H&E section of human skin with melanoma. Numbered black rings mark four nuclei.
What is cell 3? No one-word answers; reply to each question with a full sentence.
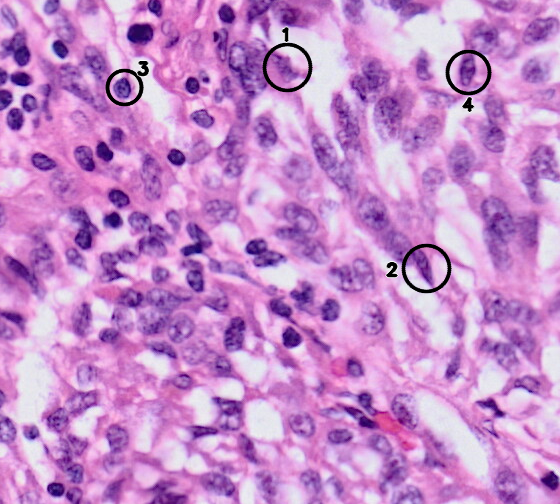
Marked with the number 3, this cell is a lymphocyte.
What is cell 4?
The one numbered 4 among the marked cells is a melanoma cell.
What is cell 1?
In this section, number 1 marks a melanoma cell.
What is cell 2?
Marked with the number 2, this cell is a melanoma cell.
